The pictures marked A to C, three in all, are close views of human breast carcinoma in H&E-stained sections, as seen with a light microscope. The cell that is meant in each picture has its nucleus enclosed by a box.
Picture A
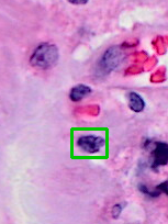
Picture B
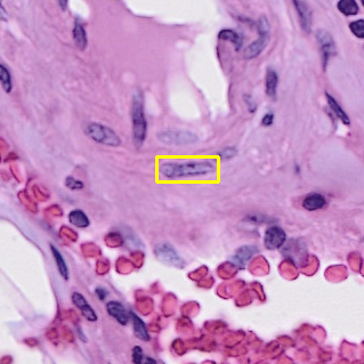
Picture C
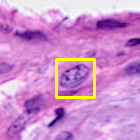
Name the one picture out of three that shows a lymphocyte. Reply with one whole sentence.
The lymphocyte is the one in picture A.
